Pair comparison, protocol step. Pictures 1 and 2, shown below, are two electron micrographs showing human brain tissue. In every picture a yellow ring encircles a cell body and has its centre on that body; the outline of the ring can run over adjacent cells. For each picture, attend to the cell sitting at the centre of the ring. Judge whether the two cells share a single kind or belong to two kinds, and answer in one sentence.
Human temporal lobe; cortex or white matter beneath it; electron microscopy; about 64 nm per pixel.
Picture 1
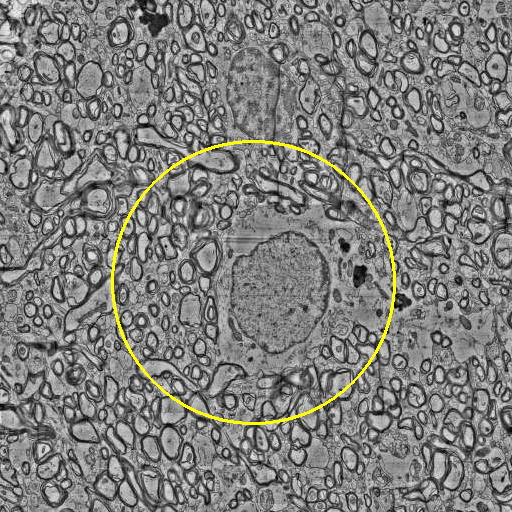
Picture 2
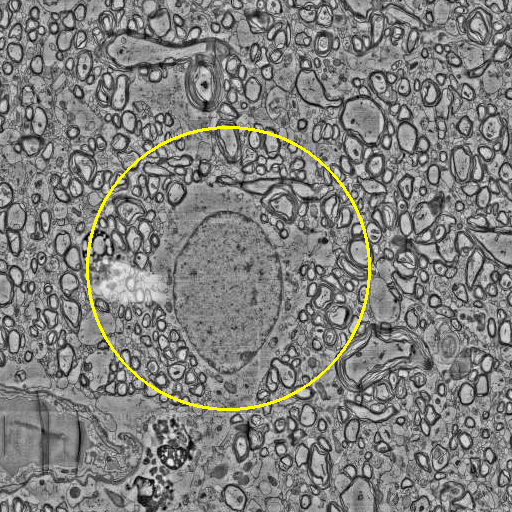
The two cells at the ring centres in Picture 1 and Picture 2 share a single kind.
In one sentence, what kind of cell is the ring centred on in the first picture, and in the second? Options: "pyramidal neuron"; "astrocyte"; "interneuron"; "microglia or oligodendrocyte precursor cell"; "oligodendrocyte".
Both cells are the same kind, each one being an astrocyte.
